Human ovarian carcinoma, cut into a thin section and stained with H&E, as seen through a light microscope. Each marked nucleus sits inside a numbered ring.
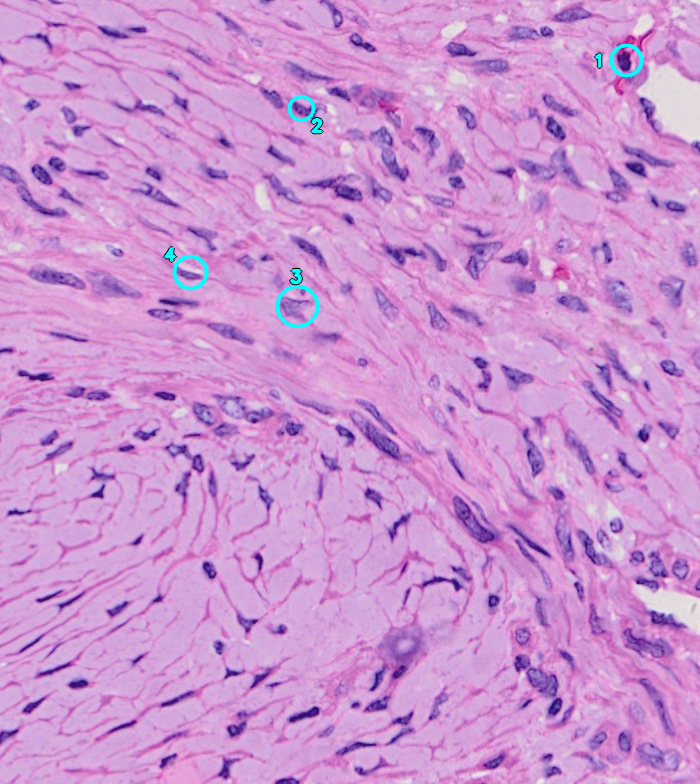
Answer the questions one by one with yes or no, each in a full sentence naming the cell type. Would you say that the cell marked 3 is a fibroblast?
Yes, the cell marked by the number 3 is a fibroblast.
